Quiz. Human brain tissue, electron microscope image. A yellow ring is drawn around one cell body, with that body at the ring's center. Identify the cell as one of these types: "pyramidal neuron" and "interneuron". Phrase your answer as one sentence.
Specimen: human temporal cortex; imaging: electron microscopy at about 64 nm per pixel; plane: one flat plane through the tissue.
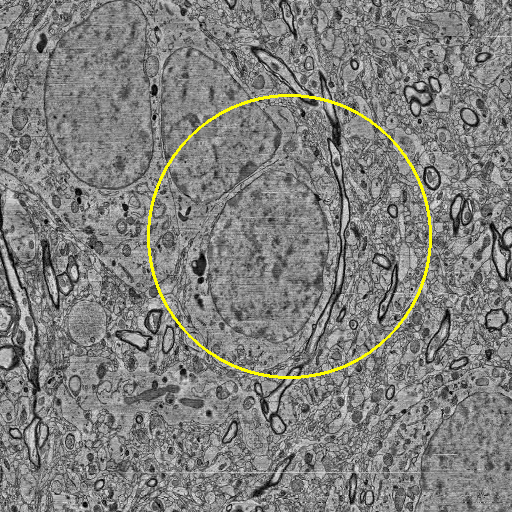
At the center of the ring sits an interneuron.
